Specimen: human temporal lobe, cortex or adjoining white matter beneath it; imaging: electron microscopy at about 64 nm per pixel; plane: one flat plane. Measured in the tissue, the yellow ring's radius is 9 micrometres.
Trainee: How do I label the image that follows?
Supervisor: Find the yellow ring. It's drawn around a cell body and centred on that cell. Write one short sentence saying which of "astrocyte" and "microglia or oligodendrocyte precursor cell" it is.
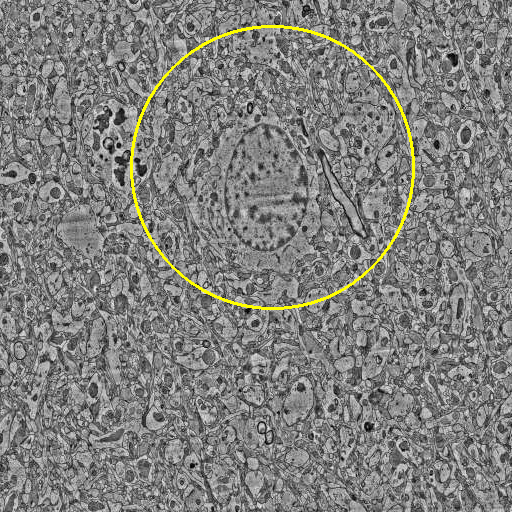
This is the cell body of an astrocyte.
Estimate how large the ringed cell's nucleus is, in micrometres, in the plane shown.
In this plane, about 8 micrometres in length and 5 in width.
